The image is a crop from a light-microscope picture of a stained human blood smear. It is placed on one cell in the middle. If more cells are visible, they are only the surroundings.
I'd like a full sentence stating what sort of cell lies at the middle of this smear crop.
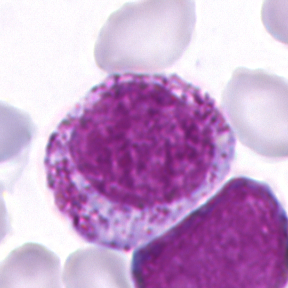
The crop centres on a single cell, and that cell is a myelocyte.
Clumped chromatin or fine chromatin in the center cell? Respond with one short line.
The key point is fine chromatin with no coarse clumps.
